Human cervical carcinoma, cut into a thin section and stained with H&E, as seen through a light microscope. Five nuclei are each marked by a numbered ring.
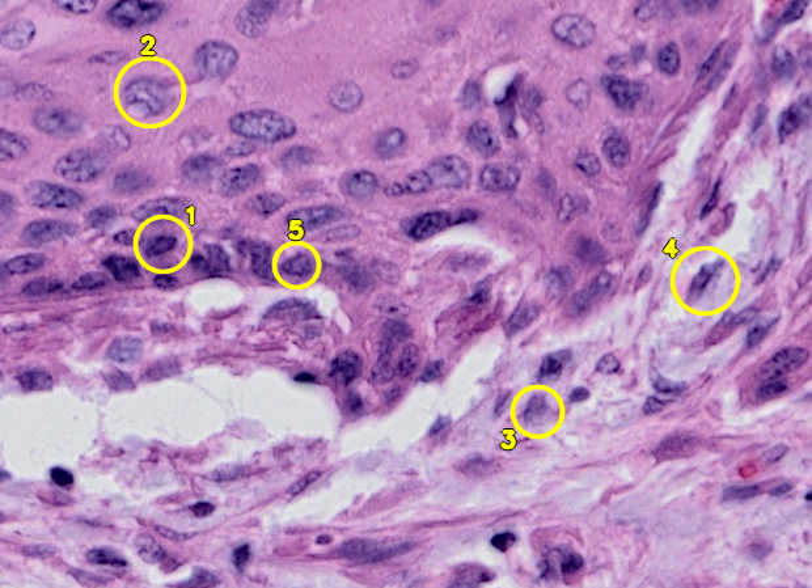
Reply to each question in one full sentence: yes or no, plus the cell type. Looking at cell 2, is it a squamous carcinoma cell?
Yes, it is a squamous carcinoma cell that number 2 identifies.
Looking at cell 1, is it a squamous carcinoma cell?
Yes, exactly, the cell numbered 1 is a squamous carcinoma cell.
